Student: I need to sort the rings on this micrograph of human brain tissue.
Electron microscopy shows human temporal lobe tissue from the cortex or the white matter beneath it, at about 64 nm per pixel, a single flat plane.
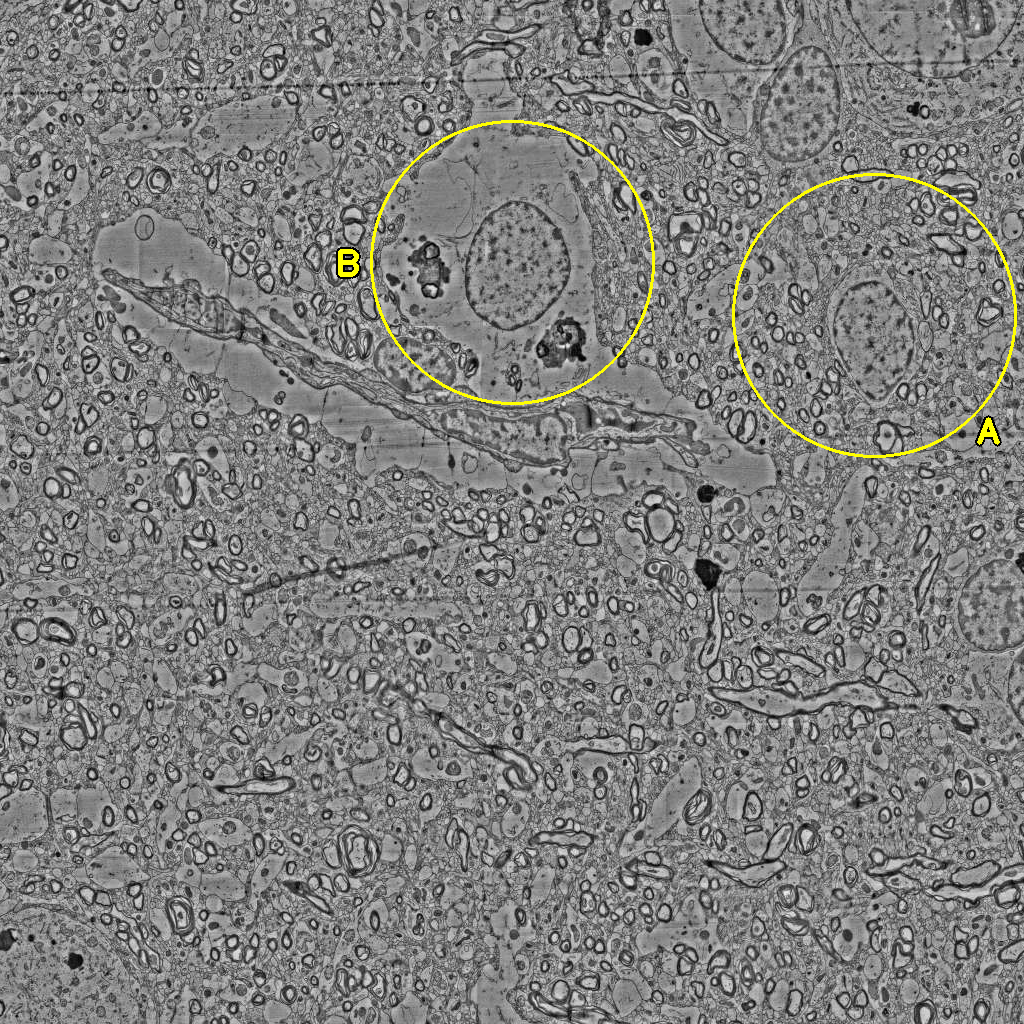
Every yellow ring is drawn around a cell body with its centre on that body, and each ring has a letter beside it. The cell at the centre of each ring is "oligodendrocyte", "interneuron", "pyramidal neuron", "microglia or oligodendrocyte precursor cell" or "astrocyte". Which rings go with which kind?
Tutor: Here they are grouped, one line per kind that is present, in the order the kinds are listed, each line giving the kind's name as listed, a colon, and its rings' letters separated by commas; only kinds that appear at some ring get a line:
microglia or oligodendrocyte precursor cell: A
astrocyte: B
